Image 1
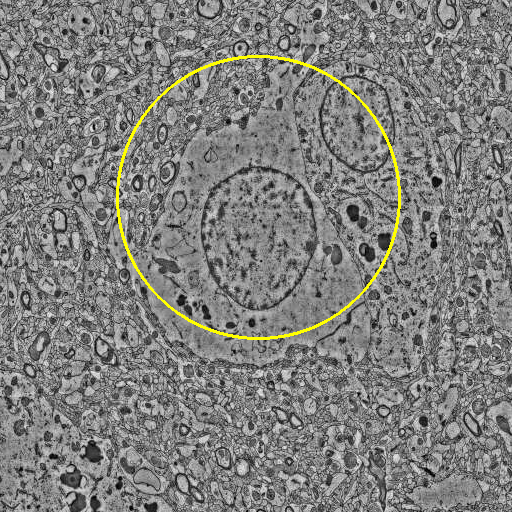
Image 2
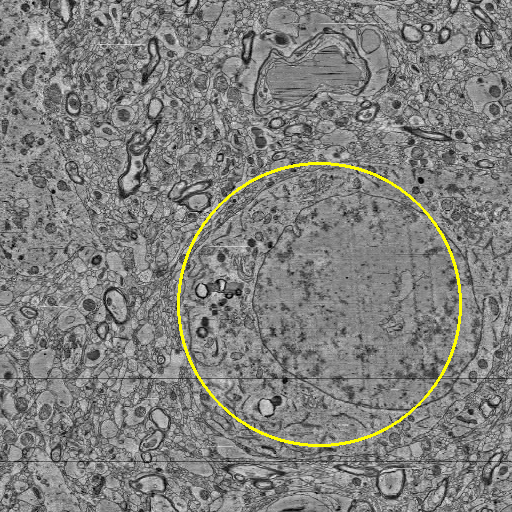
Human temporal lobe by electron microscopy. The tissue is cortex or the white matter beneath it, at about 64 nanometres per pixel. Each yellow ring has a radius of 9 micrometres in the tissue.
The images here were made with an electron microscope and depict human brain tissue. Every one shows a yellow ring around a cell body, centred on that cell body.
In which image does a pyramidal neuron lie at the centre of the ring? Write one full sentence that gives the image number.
My answer is image 2, where the asked-for cell sits at the centre of the ring.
